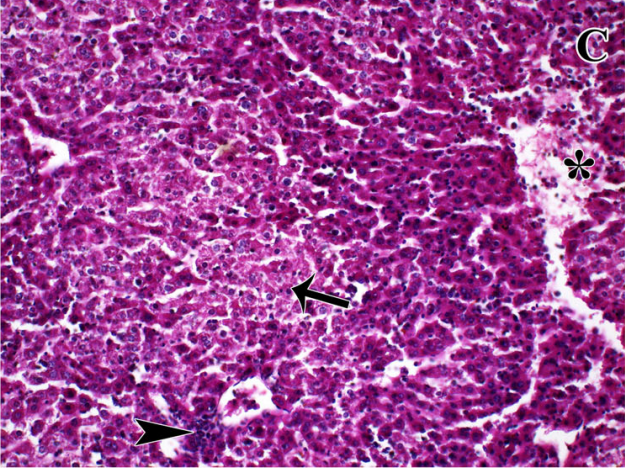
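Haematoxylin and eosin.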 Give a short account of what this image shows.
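Liver tissue in which the plates of hepatocytes are disordered and irregular rather than radiating evenly. Many hepatocytes have deeply pink cytoplasm and small, dark, condensed nuclei. Irregular clefts and widened spaces run between groups of cells. In one corner, a pale, loose, washed-out area with scattered cells breaks up the dense parenchyma, indicating oedema. Near the lower edge, a small compact cluster of round, dark-blue nuclei lies beside a vessel-like space, consistent with an accumulation of inflammatory cells. Overall staining is darker and more heterogeneous than in normal liver.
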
